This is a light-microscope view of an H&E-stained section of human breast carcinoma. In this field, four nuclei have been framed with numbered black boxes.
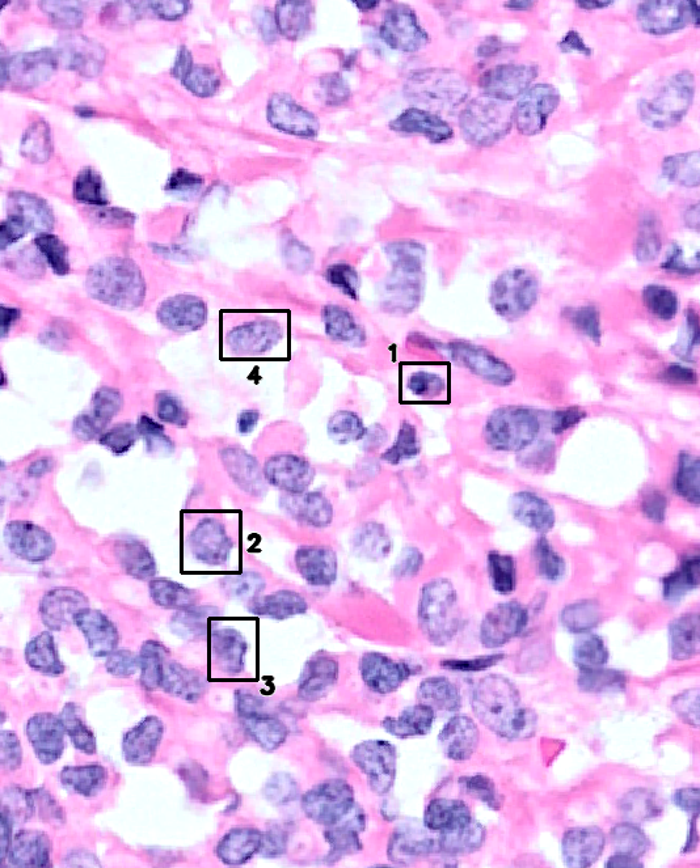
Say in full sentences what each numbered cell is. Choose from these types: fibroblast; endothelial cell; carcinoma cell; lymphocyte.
Cell 1 is a lymphocyte, cell 2 is a carcinoma cell, cell 3 is a carcinoma cell and cell 4 is a carcinoma cell.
